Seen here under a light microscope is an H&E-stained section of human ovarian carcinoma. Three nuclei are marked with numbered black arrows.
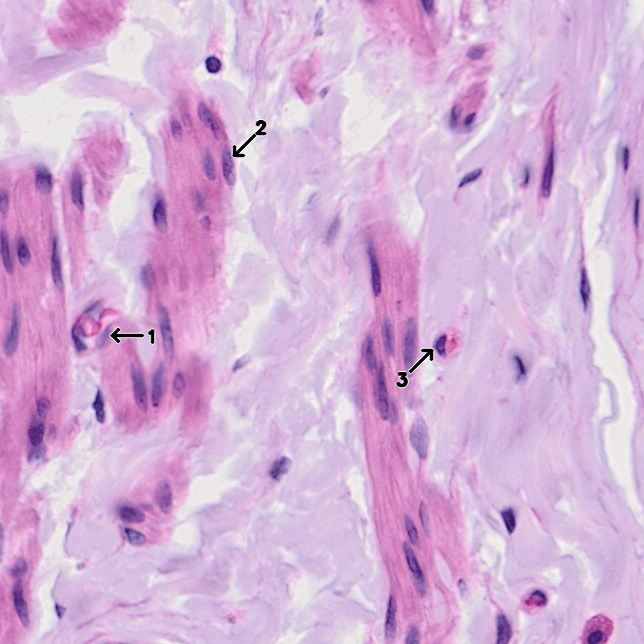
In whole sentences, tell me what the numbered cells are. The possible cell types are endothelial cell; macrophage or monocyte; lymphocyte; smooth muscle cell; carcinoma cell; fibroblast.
Cell 1 is an endothelial cell, cell 2 is a smooth muscle cell and cell 3 is an endothelial cell.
